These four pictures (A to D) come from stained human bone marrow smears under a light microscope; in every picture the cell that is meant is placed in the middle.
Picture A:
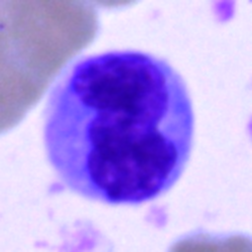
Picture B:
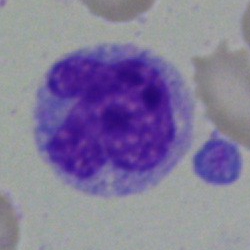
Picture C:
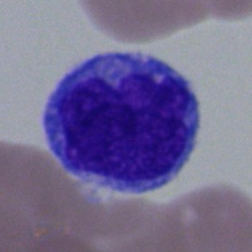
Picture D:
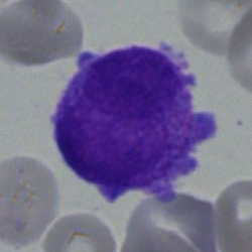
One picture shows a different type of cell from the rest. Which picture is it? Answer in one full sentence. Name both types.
Picture D differs, because its cell is a blast and the rest are monocytes.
